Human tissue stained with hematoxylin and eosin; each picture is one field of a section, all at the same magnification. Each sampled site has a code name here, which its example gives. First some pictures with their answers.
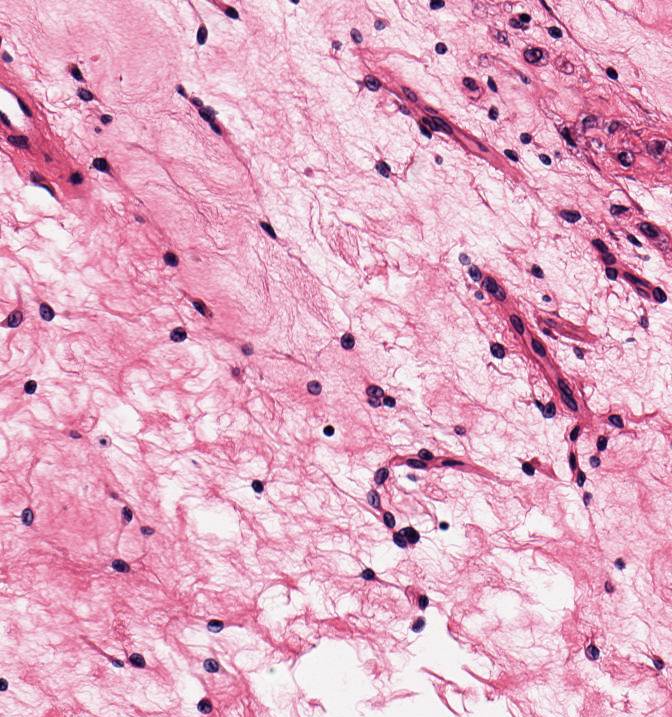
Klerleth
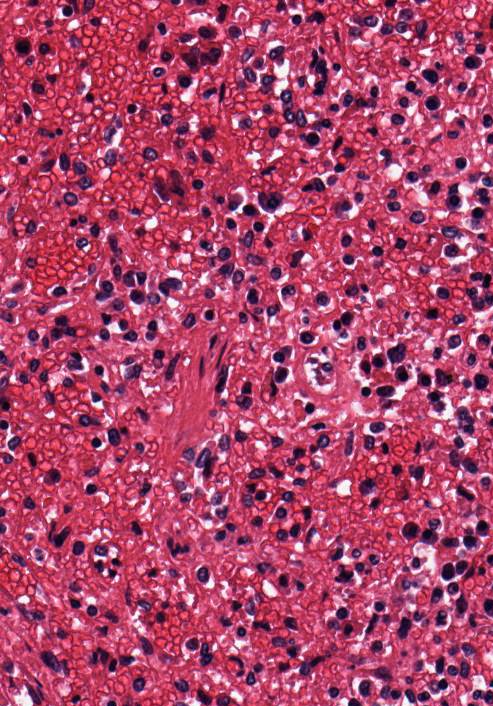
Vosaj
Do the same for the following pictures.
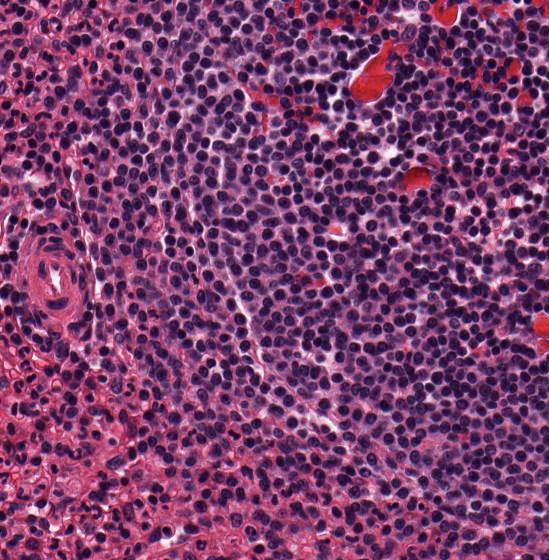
Vosaj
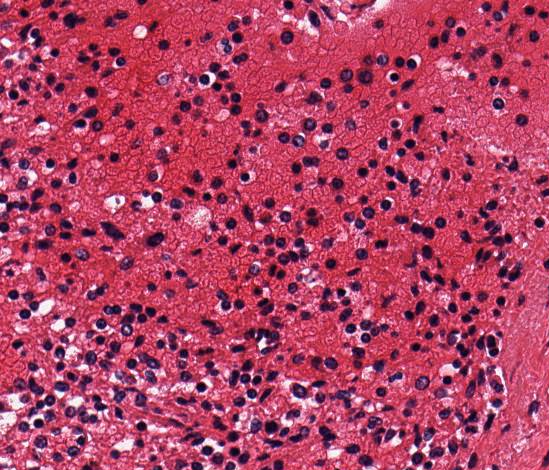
Vosaj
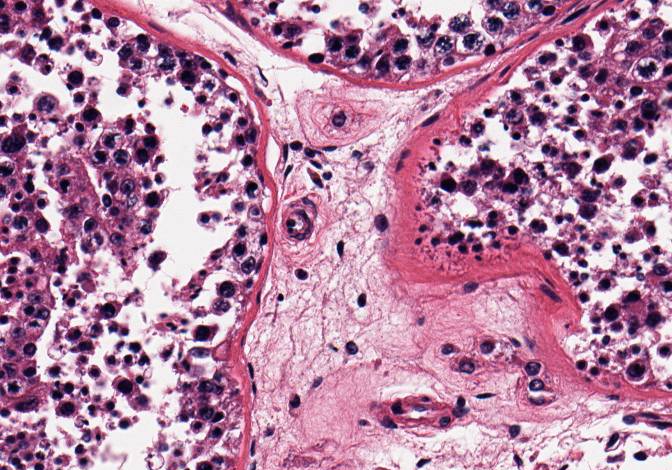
Klerleth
